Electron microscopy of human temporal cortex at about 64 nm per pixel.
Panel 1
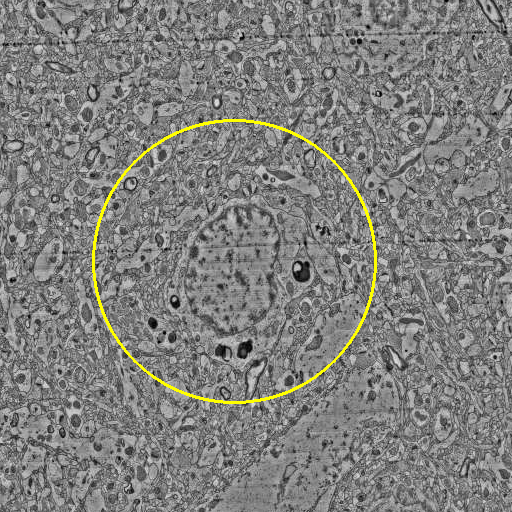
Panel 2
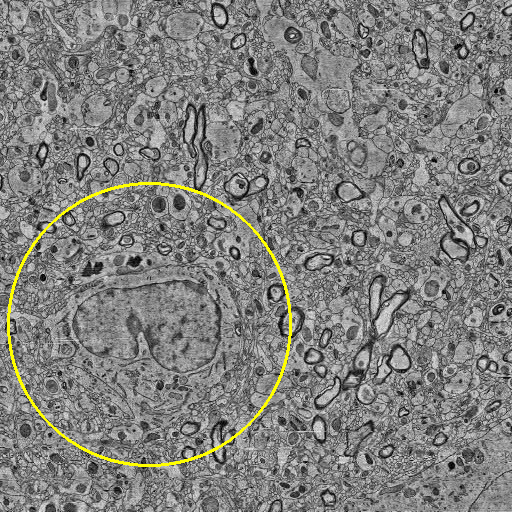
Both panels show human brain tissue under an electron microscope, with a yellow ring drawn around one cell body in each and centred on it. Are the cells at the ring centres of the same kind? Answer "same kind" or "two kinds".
two kinds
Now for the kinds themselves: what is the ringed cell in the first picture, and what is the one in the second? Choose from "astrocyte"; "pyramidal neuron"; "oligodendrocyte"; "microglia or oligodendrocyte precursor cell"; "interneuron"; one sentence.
Here the first cell is an interneuron and the second cell is a microglial cell or oligodendrocyte precursor cell.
